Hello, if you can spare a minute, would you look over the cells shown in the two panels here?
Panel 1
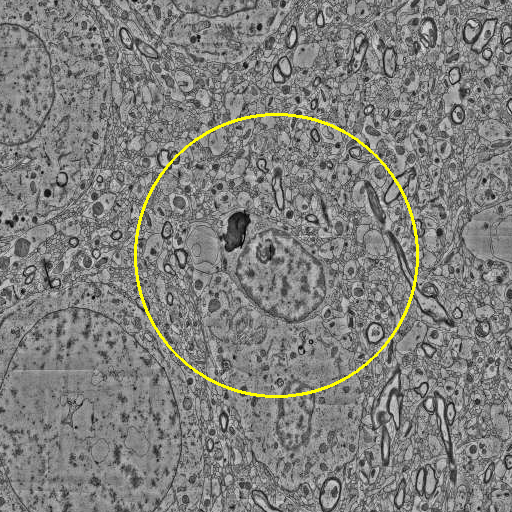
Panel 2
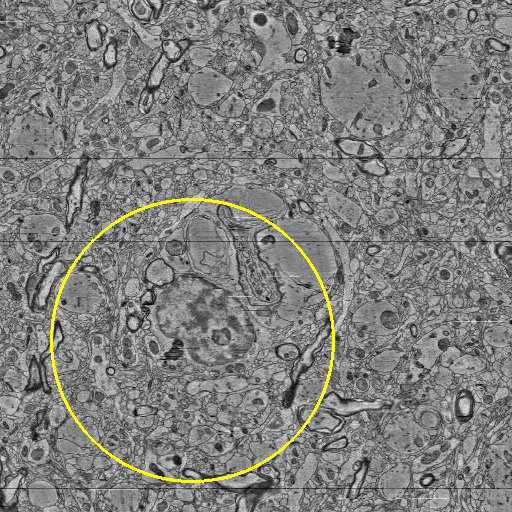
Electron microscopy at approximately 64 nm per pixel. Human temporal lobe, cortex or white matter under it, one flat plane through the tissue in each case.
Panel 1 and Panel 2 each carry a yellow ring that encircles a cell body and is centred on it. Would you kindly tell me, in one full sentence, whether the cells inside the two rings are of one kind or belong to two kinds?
The cells at the centres of the rings in Panel 1 and Panel 2 are of one kind.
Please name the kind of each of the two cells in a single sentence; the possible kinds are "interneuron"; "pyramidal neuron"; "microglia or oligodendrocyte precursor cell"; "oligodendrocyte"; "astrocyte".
Each of the two rings is centred on an oligodendrocyte.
